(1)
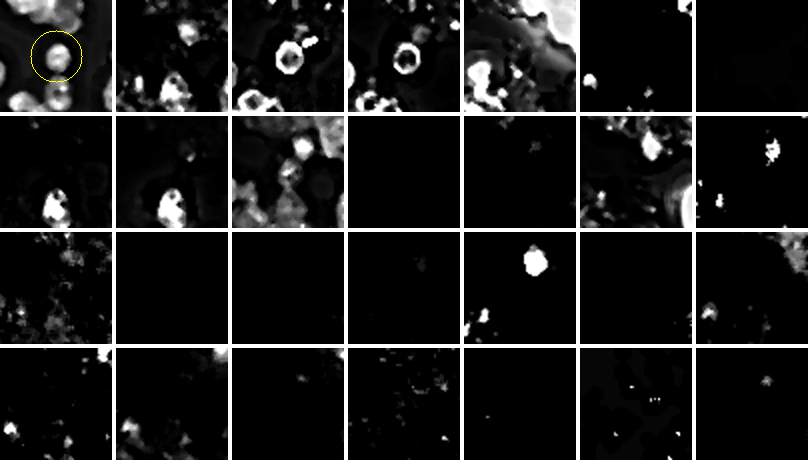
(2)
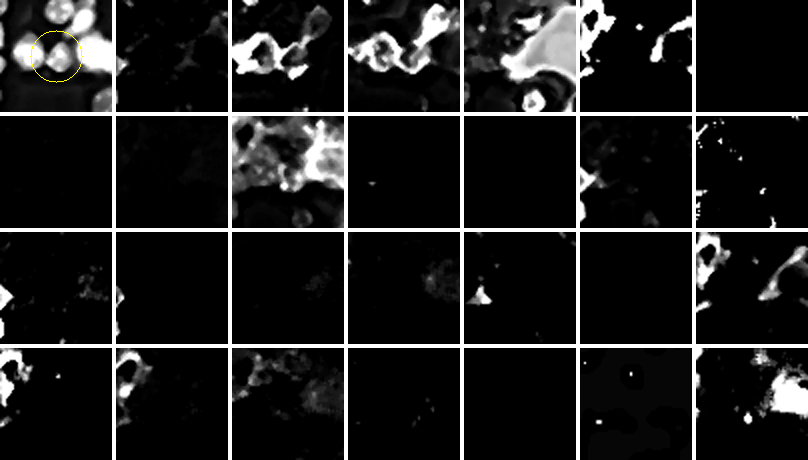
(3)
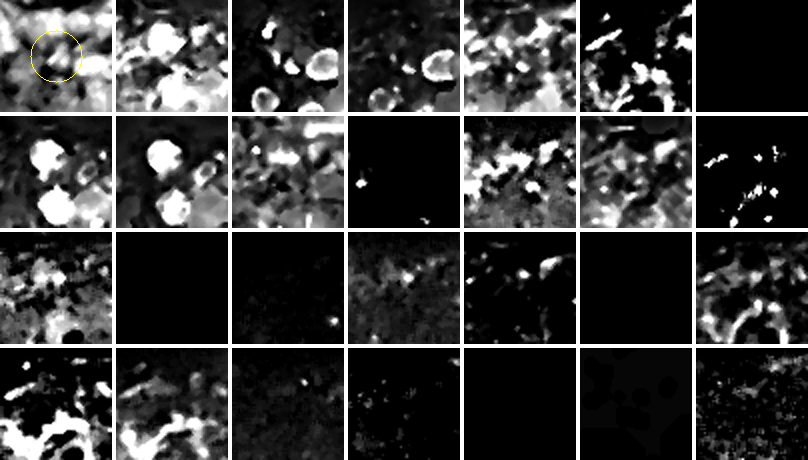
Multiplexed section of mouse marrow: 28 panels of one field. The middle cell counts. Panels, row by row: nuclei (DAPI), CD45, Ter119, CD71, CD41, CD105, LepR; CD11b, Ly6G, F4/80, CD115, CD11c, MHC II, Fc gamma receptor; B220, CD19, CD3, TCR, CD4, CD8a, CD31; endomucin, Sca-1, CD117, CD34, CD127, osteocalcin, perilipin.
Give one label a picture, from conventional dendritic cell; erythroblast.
1: erythroblast
2: erythroblast
3: conventional dendritic cell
